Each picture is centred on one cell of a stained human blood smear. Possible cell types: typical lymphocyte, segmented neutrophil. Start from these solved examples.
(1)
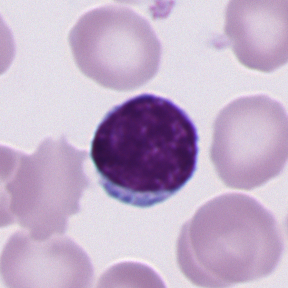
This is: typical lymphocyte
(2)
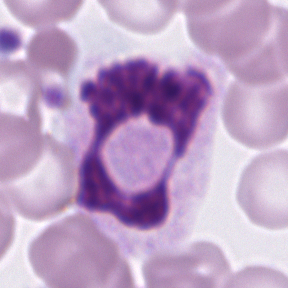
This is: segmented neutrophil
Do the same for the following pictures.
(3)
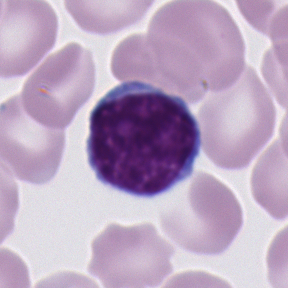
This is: typical lymphocyte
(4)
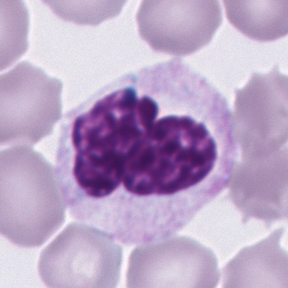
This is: segmented neutrophil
